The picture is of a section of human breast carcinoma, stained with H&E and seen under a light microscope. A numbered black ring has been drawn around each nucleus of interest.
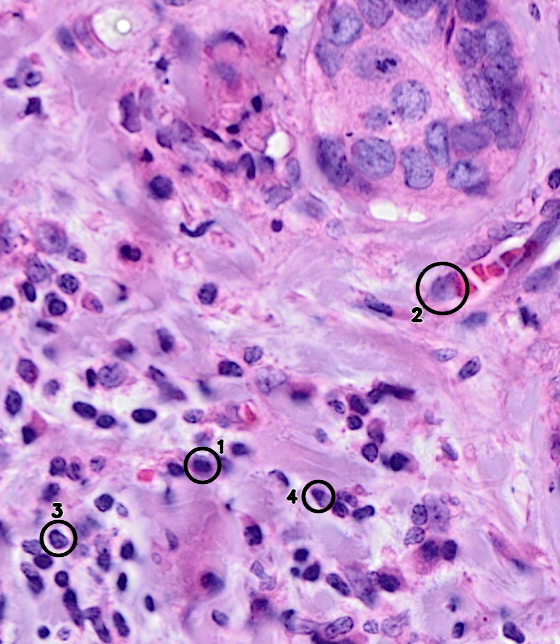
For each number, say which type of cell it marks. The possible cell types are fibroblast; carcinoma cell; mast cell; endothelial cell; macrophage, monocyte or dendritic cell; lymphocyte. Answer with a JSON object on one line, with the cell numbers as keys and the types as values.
{"1": "lymphocyte", "2": "endothelial cell", "3": "lymphocyte", "4": "lymphocyte"}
